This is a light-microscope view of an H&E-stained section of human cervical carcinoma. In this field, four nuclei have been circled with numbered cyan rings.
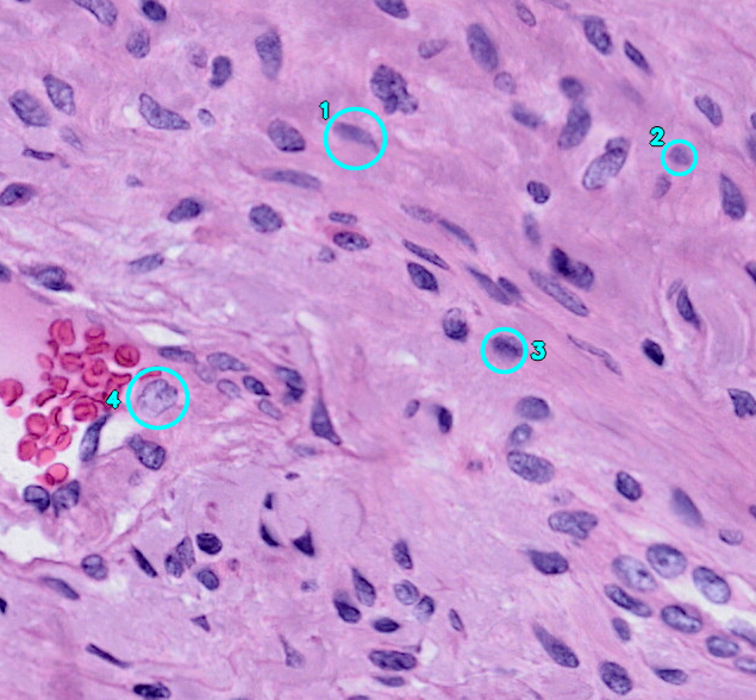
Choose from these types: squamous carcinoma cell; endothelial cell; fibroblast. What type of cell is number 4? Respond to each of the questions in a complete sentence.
In this section, number 4 marks an endothelial cell.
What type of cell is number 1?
Identified by the number 1, the cell is a fibroblast.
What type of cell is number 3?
Marked with the number 3, this cell is a fibroblast.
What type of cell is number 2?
The cell that bears the number 2 is a fibroblast.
